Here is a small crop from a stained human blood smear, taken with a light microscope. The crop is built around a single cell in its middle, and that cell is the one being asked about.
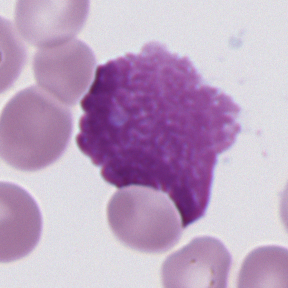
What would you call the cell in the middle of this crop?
smudge cell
